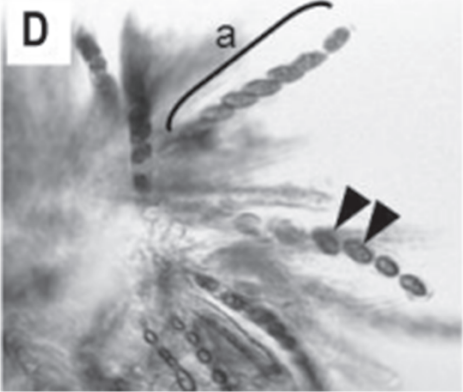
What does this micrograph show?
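This squash mount of a fungal fruiting body shows many elongated asci radiating out from a central mass. Each ascus holds a single file of dark oval spores lined up end to end, some darker than others.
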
